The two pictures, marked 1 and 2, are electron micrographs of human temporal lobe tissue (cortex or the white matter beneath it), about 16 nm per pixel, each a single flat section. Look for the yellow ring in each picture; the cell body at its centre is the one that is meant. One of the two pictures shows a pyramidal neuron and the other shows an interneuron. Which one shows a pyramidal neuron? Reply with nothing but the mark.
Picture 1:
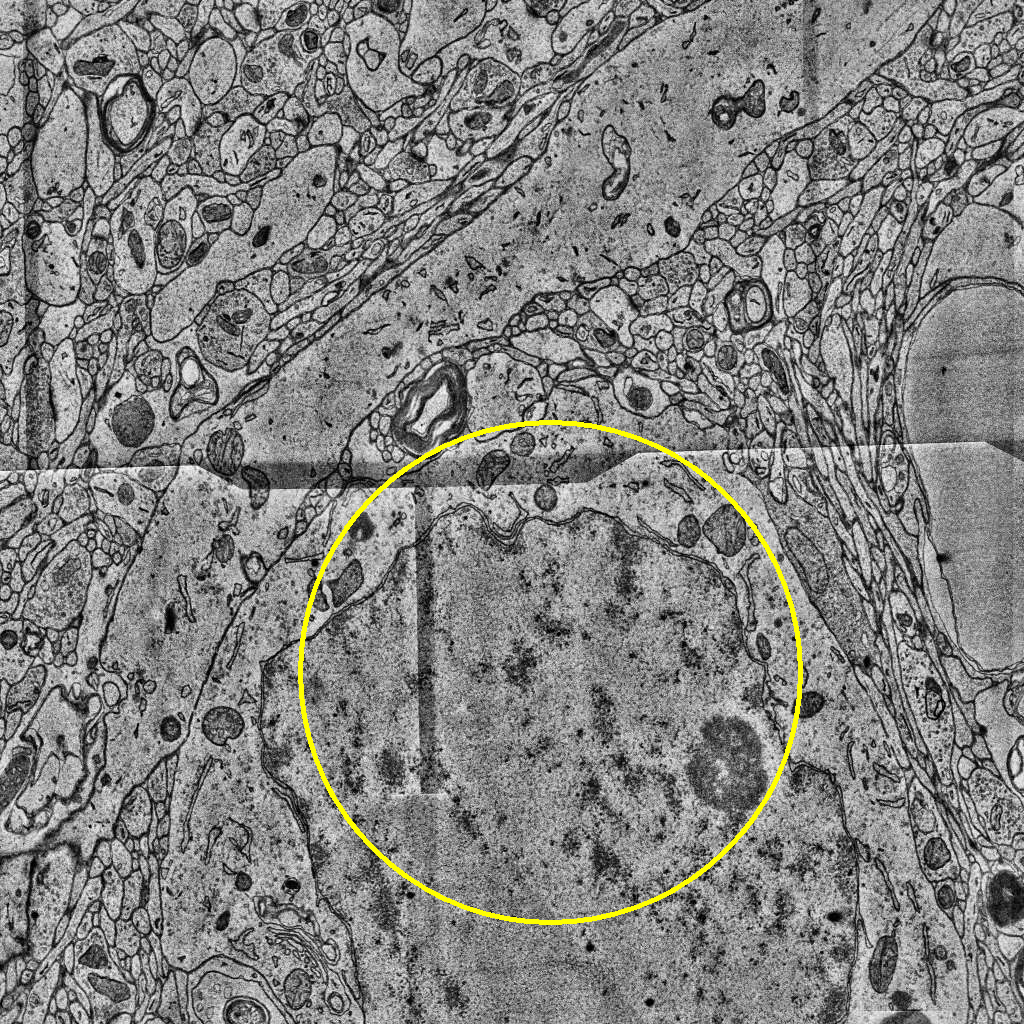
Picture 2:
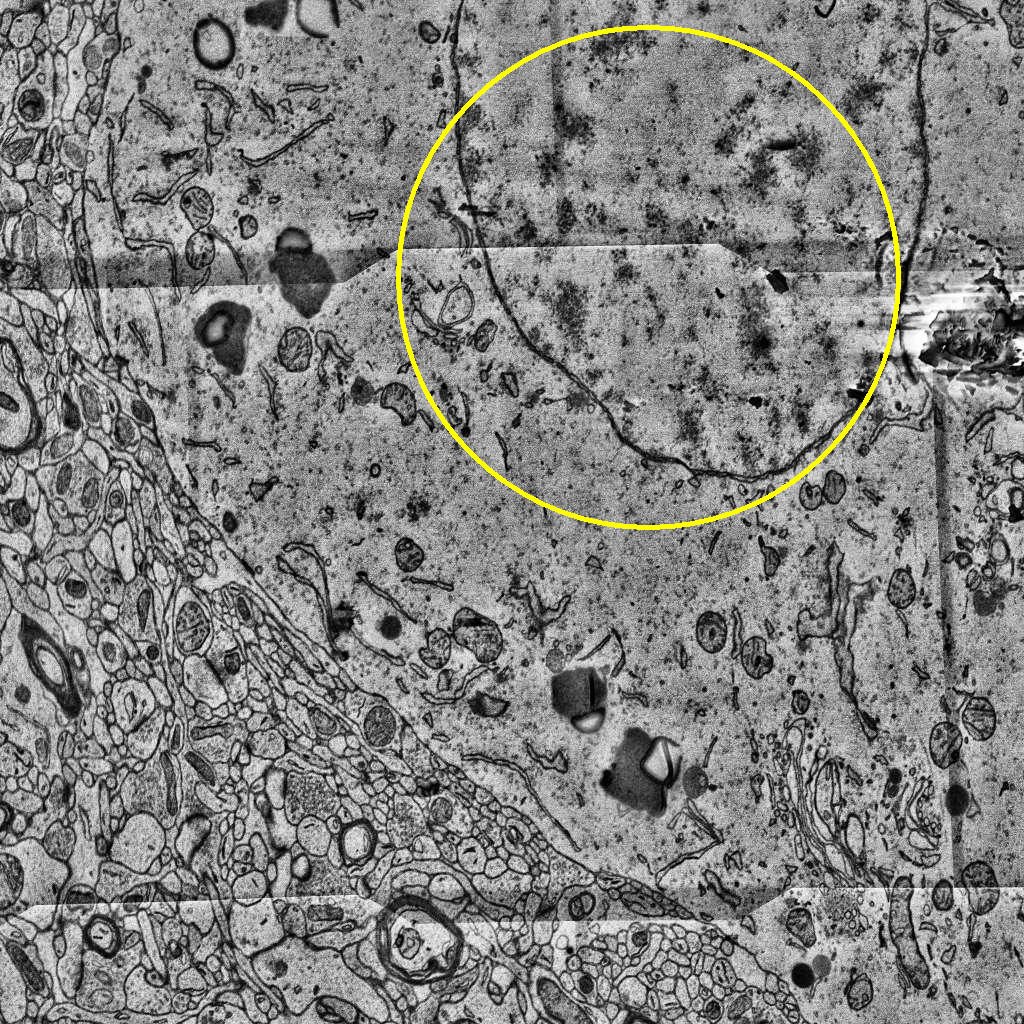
2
